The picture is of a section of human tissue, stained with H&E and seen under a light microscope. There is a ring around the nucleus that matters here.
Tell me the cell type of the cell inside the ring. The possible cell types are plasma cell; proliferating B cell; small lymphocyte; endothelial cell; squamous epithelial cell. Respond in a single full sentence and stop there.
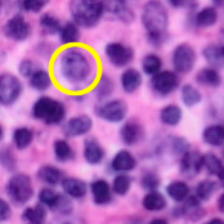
The cell type of the cell inside the ring is that of a proliferating B cell.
